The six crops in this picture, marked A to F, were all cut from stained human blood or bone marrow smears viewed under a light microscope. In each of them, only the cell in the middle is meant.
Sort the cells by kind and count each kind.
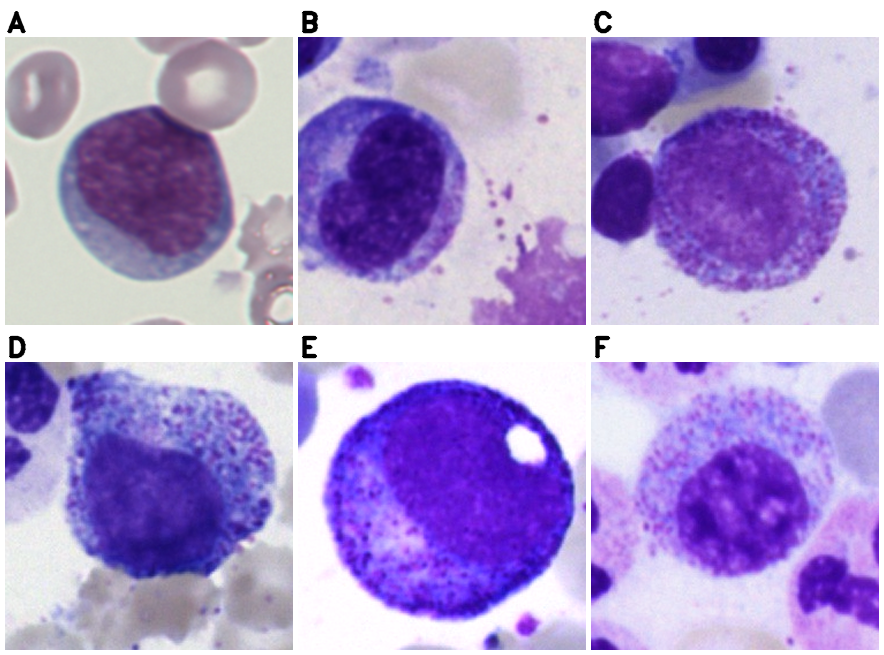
promyelocyte: 4
blast: 1
myelocyte: 1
